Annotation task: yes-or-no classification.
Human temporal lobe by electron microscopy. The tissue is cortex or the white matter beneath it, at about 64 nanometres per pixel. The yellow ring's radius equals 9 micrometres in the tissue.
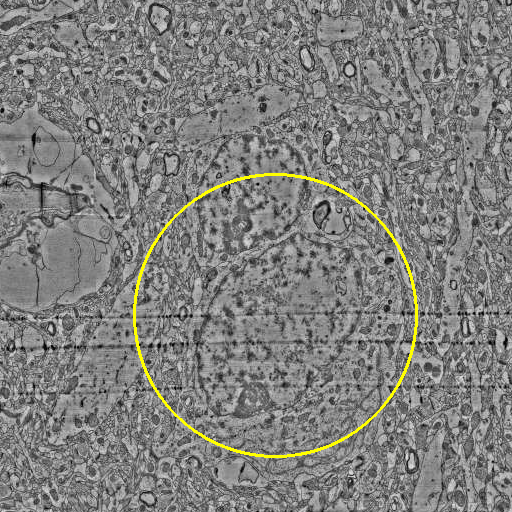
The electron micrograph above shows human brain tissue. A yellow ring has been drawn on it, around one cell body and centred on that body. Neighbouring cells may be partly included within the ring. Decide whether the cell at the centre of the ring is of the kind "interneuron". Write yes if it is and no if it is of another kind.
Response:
yes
